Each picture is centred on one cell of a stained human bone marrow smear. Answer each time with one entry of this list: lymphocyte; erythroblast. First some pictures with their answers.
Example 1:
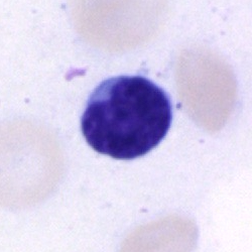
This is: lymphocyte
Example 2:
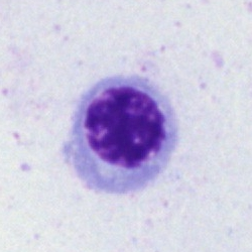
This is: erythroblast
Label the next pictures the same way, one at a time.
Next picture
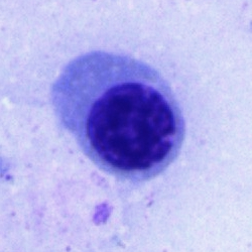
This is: erythroblast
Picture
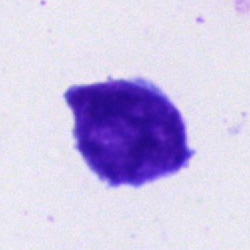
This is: lymphocyte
